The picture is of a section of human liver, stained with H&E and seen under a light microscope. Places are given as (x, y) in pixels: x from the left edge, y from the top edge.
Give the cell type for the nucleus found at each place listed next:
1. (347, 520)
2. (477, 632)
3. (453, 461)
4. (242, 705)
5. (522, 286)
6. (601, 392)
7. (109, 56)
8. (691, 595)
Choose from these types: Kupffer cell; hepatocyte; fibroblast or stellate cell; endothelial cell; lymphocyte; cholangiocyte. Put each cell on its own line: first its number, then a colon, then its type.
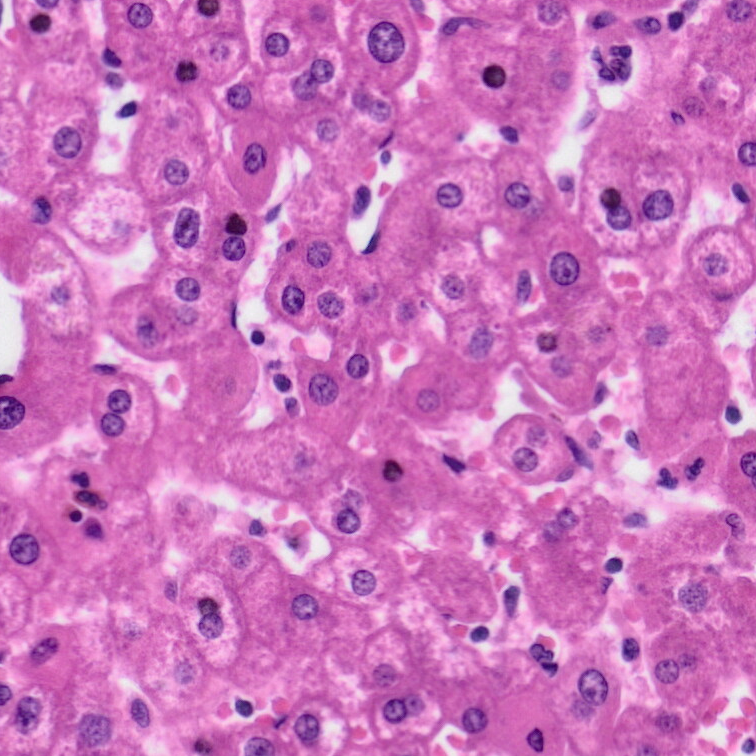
1: hepatocyte
2: lymphocyte
3: fibroblast or stellate cell
4: lymphocyte
5: Kupffer cell
6: Kupffer cell
7: fibroblast or stellate cell
8: hepatocyte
